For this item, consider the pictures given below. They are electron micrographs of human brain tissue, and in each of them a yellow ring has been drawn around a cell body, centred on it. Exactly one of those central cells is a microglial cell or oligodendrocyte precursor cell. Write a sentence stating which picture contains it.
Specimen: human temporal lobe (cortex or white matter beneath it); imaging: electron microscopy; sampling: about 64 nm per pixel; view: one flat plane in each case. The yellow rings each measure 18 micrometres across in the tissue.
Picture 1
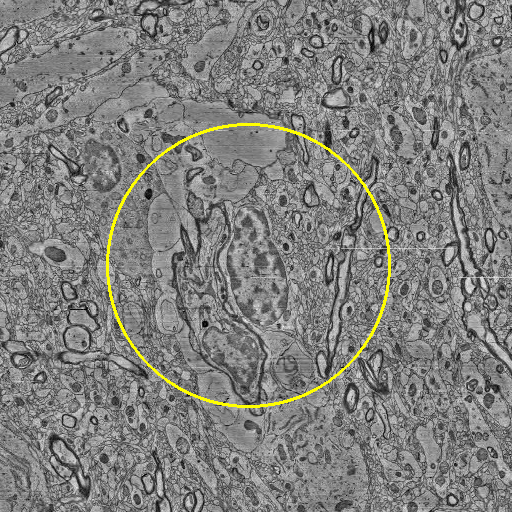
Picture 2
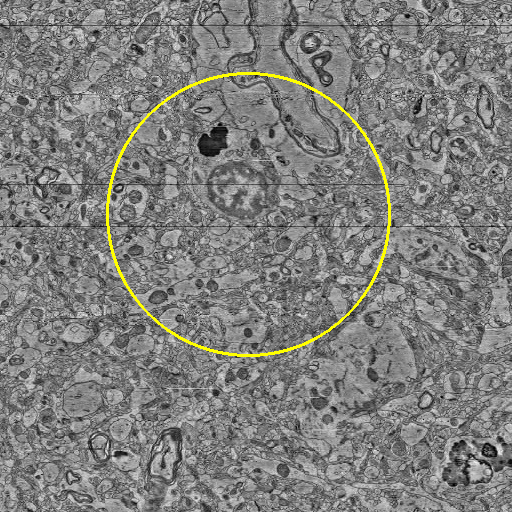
It is in Picture 1.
